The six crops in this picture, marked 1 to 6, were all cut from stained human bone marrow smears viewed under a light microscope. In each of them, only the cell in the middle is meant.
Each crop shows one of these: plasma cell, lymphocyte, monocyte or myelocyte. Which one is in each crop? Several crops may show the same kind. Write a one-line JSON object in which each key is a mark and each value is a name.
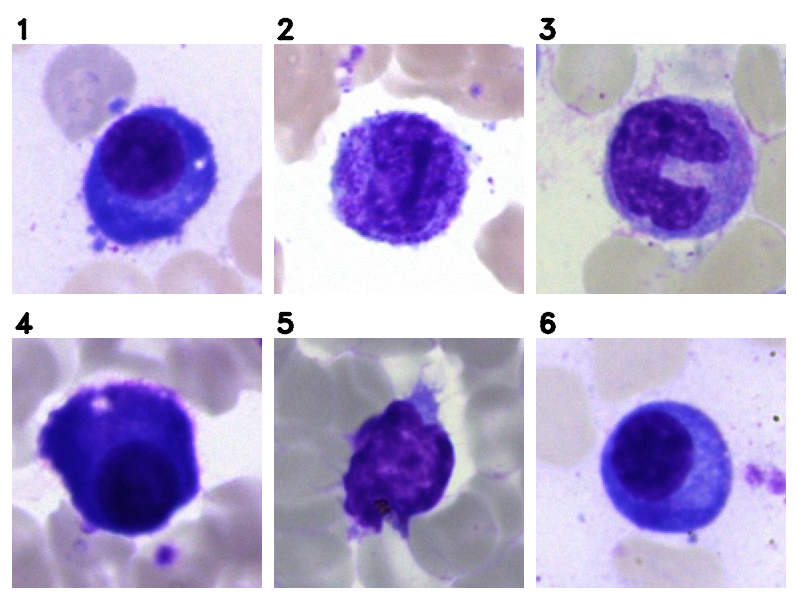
{"1": "plasma cell", "2": "myelocyte", "3": "monocyte", "4": "plasma cell", "5": "lymphocyte", "6": "plasma cell"}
